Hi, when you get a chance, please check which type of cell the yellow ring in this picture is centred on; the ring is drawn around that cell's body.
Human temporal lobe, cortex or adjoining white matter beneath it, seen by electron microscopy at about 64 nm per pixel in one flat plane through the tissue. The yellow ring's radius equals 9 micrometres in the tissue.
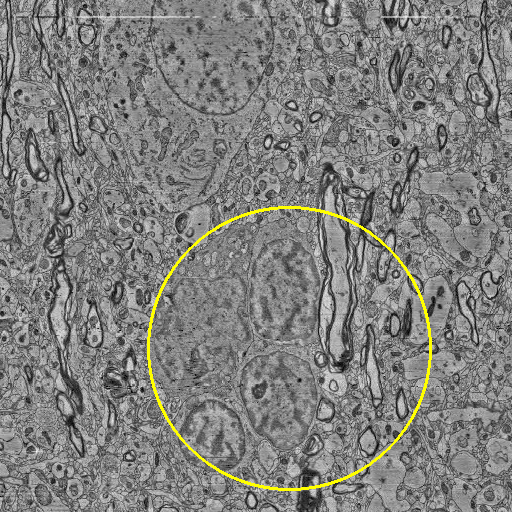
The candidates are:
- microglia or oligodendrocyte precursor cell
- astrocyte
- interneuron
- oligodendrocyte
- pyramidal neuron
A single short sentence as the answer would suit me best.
The ring is drawn around the body of an oligodendrocyte.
